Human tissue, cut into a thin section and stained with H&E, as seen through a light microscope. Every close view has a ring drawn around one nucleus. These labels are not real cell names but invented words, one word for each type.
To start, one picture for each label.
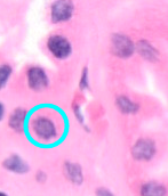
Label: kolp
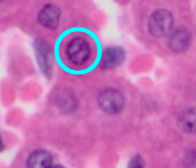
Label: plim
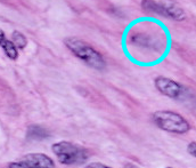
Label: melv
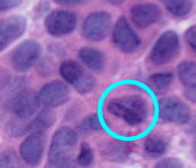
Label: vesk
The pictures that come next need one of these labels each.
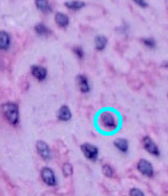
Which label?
melv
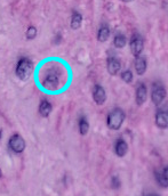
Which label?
melv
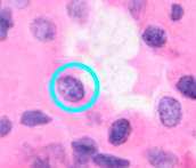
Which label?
kolp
